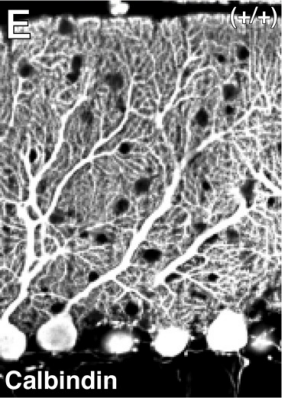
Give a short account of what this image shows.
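This is the cerebellar cortex with Purkinje cells shown in white against a dark background. Their large, pear-shaped cell bodies sit side by side in a single row at the bottom of the field. The finest branchlets give the layer a fine meshwork texture. Dark round holes scattered among the branches are unlabeled cell bodies lying within the molecular layer.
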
